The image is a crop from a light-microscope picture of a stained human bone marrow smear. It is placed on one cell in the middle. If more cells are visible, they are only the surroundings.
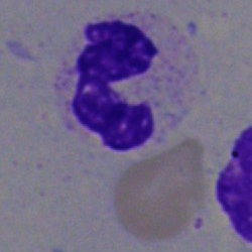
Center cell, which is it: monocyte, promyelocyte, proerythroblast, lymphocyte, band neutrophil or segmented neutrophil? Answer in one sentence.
The cell of interest, located centrally, is a segmented neutrophil.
